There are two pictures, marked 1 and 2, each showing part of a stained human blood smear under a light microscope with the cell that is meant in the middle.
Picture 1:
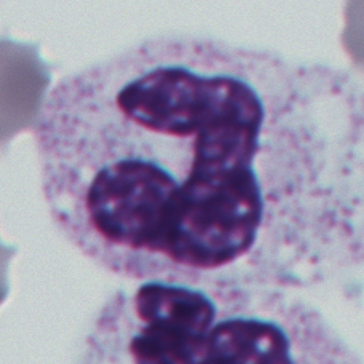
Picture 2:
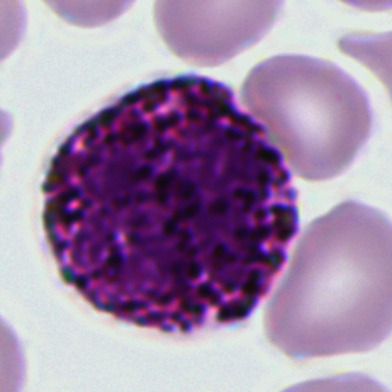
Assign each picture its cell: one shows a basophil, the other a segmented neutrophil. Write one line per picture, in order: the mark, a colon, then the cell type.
1: segmented neutrophil
2: basophil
